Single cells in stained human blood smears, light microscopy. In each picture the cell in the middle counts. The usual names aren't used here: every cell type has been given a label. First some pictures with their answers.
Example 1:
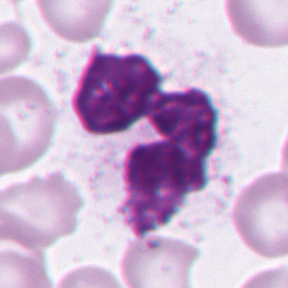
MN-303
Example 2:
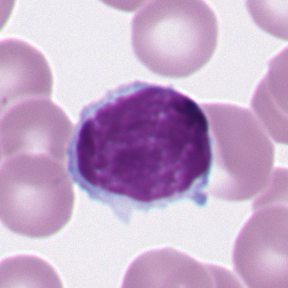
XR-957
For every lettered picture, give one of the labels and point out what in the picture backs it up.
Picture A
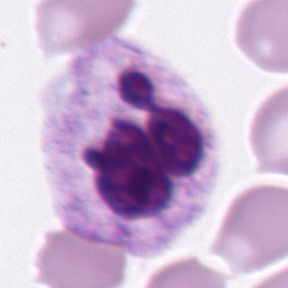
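MN-303: A wide rim of pale lilac cytoplasm surrounds the nucleus.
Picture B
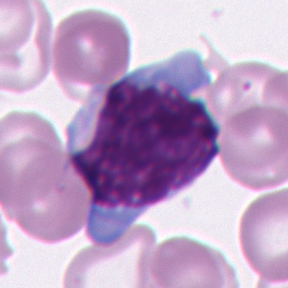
XR-957: The cytoplasm is scant compared with the nucleus.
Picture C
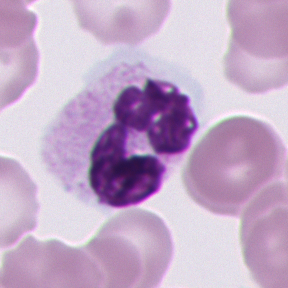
MN-303: The lobes are arranged in a loop around a small pale area of cytoplasm.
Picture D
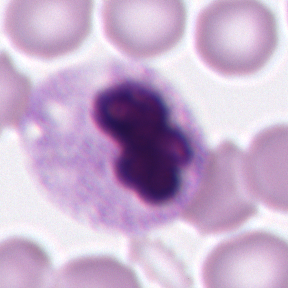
MN-303: The cytoplasm is abundant and pale pinkish-lilac.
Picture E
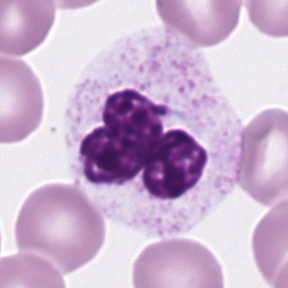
MN-303: The nucleus is divided into three lobes.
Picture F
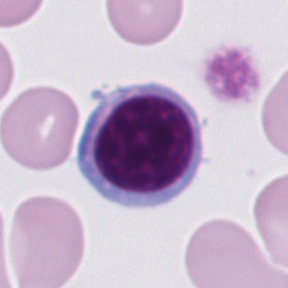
XR-957: The cytoplasm is a narrow pale blue rim around the whole nucleus.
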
